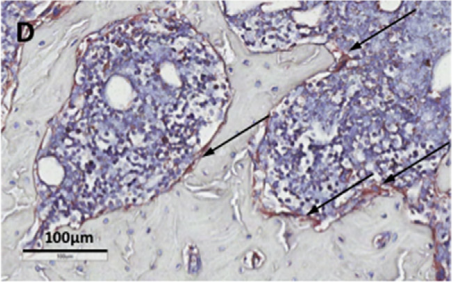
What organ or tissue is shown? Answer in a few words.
Bone marrow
